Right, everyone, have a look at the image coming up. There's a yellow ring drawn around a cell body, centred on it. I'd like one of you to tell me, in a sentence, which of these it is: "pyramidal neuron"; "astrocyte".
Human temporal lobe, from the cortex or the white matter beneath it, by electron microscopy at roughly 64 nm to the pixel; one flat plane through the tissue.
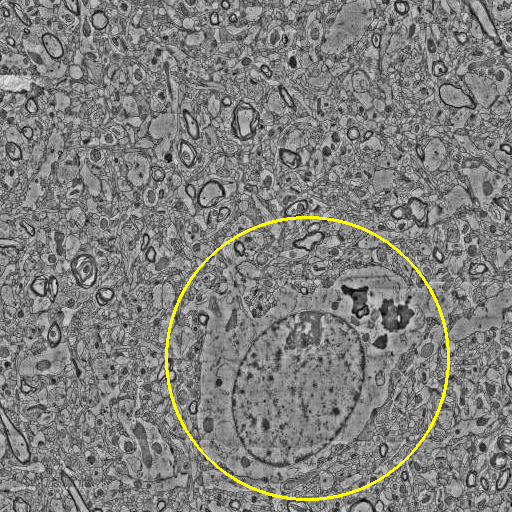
The yellow ring sits on an astrocyte.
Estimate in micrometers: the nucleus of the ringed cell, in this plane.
In this plane, the nucleus of the cell at the centre of the ring measures about 10 by 8 micrometres.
